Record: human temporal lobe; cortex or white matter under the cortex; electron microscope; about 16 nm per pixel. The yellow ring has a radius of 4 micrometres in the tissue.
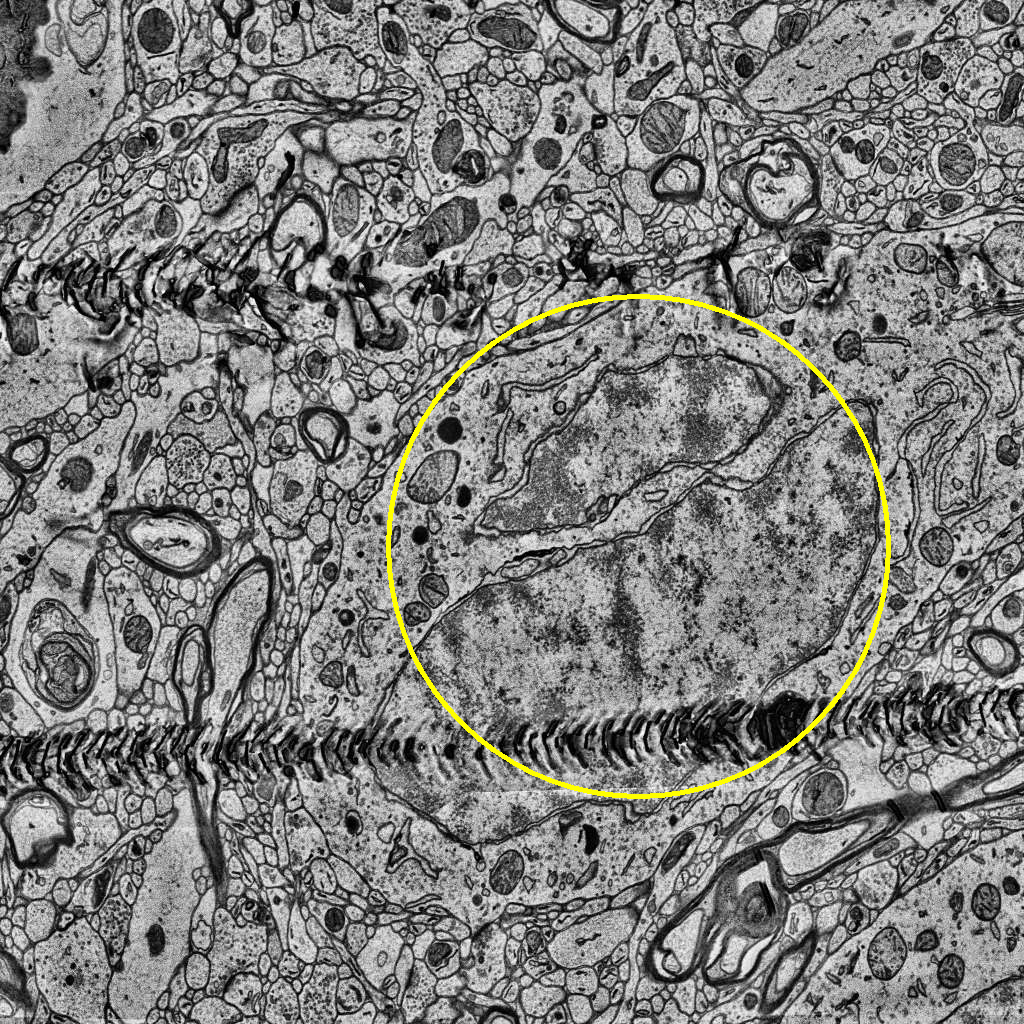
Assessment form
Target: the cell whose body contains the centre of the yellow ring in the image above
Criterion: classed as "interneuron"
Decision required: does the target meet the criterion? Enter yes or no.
yes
